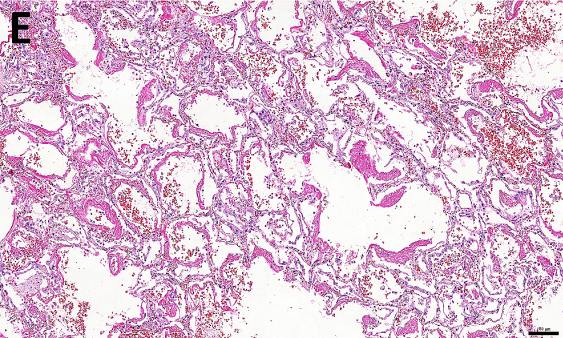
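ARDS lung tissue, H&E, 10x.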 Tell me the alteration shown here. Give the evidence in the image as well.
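Intense hyaline membrane formation. Many glassy bright pink bands line alveolar walls.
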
